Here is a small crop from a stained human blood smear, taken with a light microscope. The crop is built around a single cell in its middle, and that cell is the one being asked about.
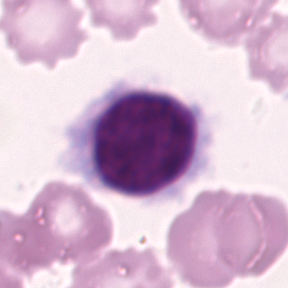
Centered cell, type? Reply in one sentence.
For this crop, the central cell is a hairy cell.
